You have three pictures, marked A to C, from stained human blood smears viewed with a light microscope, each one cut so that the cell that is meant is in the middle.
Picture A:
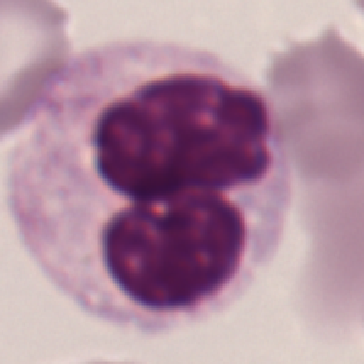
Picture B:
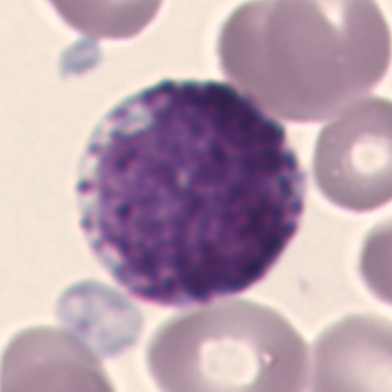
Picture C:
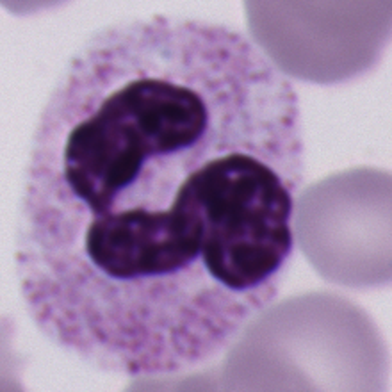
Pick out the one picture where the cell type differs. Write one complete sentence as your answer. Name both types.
All pictures except B show segmented neutrophils; picture B shows a basophil.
